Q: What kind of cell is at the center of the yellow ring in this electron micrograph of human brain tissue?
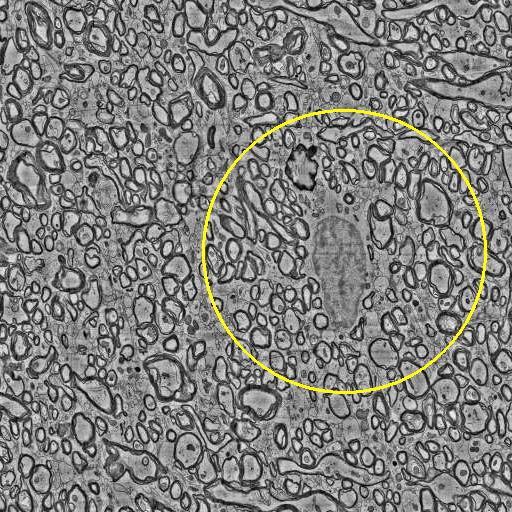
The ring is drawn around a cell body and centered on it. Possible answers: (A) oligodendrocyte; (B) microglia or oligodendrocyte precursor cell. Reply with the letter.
A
